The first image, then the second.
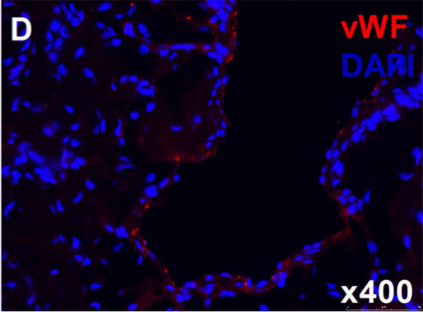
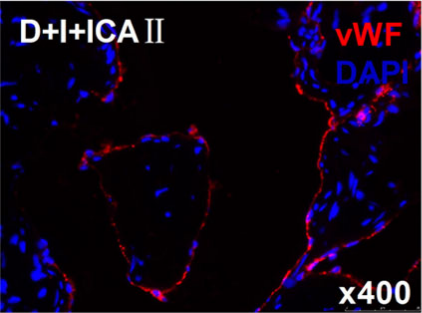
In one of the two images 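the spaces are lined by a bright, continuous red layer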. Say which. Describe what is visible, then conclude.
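First image: red lining of the spaces is faint and patchy. Second image: a bright red line outlines the large space and the septa. That points to this answer: the second image.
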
